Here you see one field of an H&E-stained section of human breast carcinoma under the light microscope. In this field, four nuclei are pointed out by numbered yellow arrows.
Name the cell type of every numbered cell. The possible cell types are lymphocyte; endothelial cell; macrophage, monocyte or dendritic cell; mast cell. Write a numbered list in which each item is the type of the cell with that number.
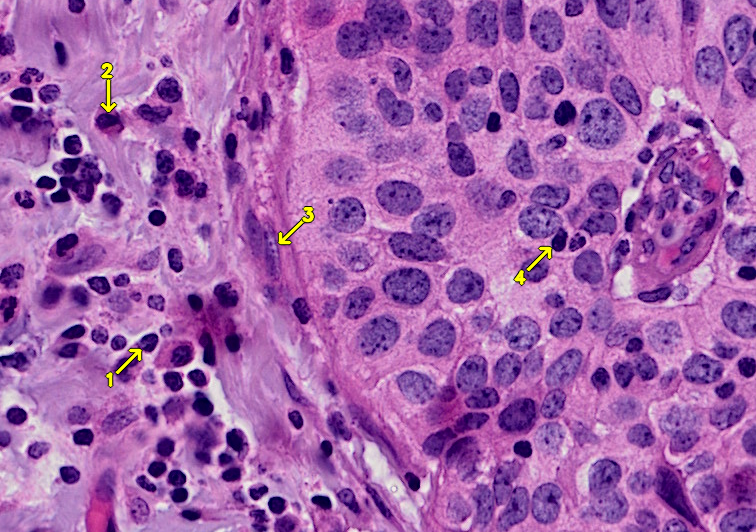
1. lymphocyte
2. mast cell
3. endothelial cell
4. lymphocyte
